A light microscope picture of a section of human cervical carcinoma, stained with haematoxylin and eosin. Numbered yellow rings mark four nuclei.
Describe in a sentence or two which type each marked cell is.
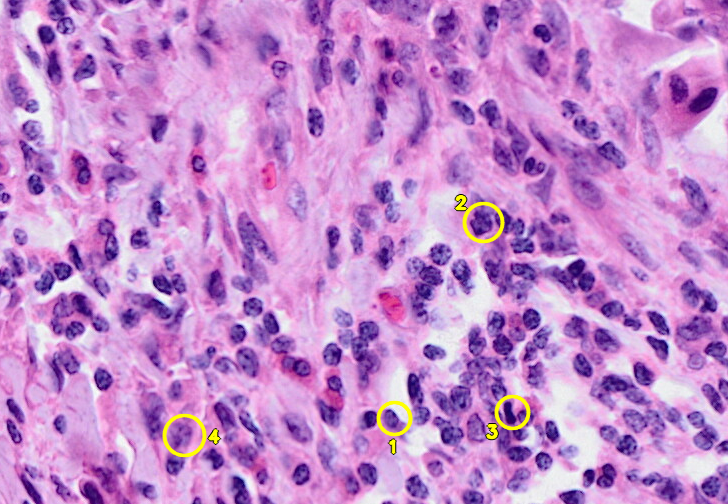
Cells 1, 2 and 3 are lymphocytes. Cell 4 is a macrophage or monocyte.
